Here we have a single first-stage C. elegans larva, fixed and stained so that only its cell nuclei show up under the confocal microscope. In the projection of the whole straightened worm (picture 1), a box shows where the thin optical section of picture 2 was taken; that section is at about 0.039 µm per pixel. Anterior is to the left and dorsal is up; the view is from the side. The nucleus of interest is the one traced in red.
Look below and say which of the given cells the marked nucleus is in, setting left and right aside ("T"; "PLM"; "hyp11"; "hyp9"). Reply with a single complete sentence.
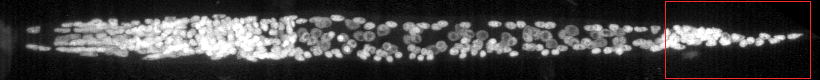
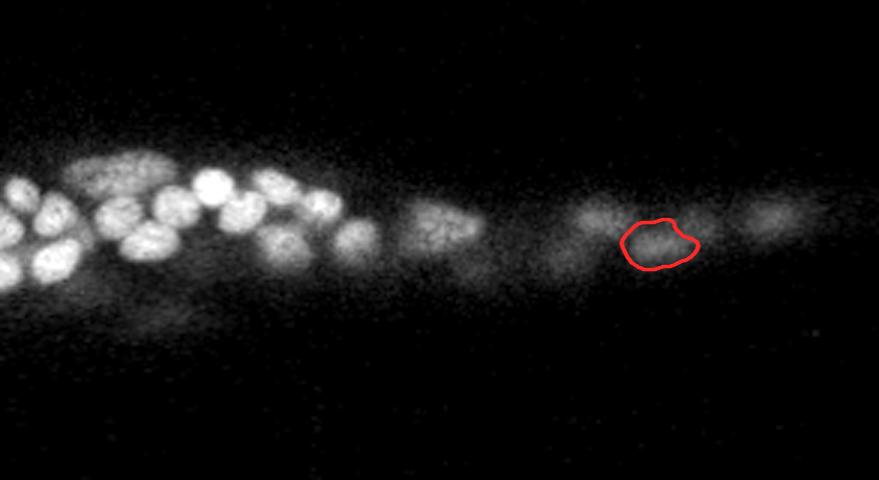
This is the nucleus of hyp9, a hypodermal cell (hyp).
